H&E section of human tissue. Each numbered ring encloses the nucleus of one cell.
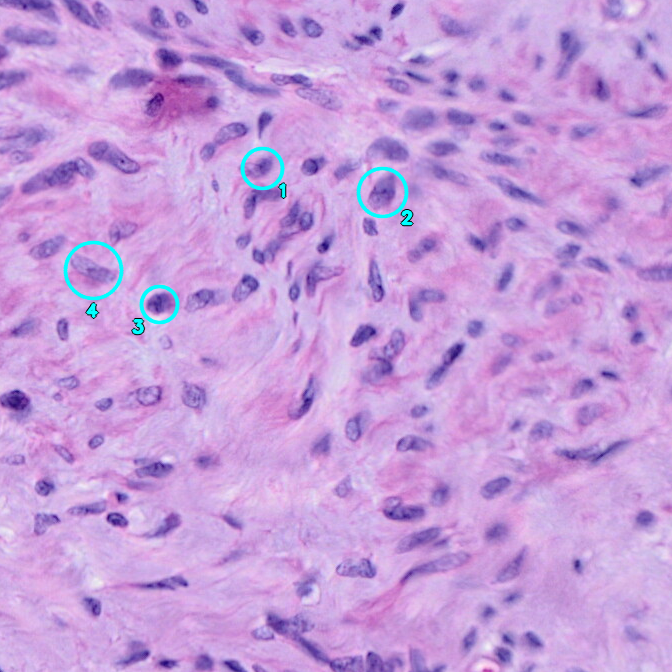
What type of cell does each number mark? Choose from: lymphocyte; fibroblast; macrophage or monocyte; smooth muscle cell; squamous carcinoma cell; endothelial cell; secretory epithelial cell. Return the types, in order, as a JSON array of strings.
["smooth muscle cell", "fibroblast", "lymphocyte", "smooth muscle cell"]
